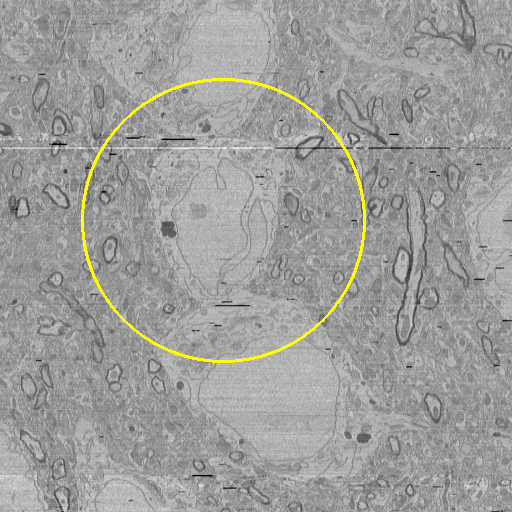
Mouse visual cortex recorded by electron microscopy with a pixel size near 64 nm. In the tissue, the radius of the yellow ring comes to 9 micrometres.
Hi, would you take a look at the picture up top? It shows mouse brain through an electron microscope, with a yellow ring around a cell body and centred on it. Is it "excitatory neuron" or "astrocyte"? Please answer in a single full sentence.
The best fit for the cell in the middle of the ring is an excitatory neuron, I reckon.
